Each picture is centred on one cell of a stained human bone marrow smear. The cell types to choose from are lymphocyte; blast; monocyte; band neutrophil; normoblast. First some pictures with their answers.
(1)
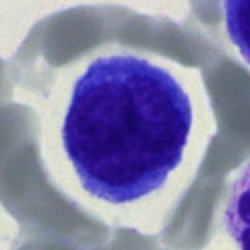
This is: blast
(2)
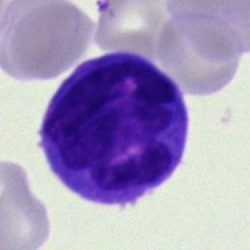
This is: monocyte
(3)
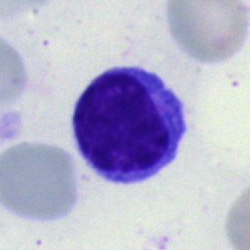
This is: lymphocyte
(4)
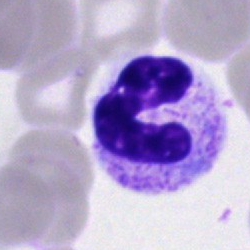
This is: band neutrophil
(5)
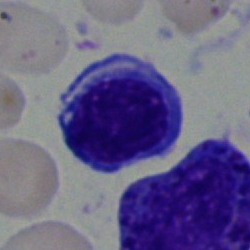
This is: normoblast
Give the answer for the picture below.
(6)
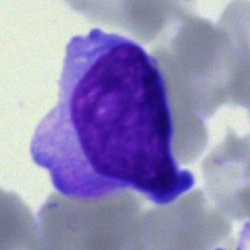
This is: blast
